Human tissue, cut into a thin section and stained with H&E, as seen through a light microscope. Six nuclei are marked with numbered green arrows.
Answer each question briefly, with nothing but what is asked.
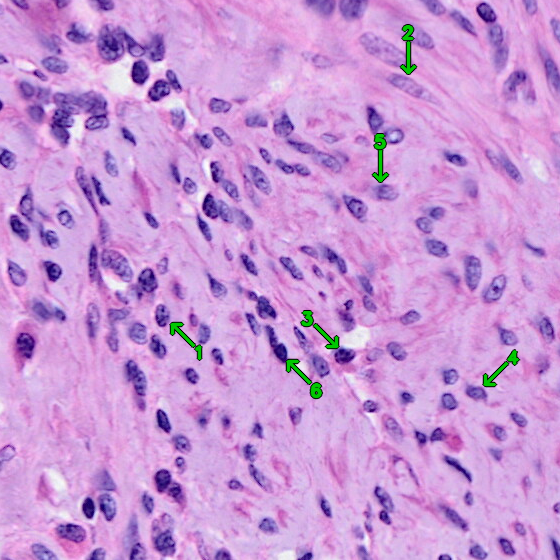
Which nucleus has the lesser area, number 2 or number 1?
1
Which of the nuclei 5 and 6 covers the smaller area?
6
